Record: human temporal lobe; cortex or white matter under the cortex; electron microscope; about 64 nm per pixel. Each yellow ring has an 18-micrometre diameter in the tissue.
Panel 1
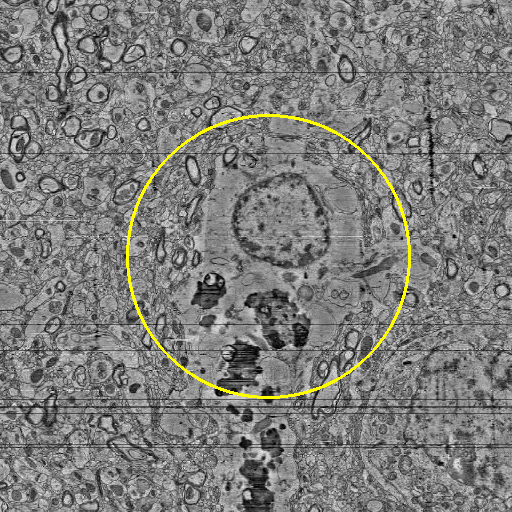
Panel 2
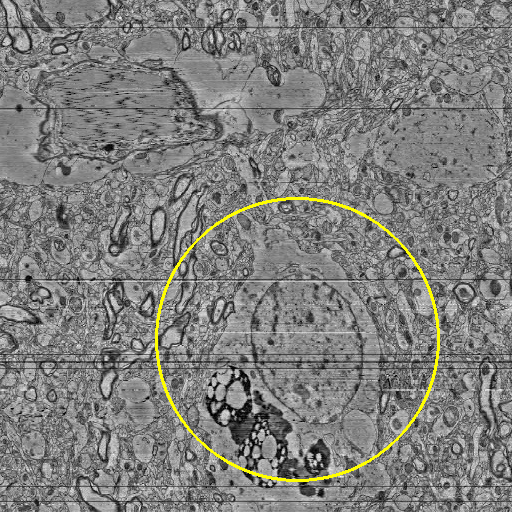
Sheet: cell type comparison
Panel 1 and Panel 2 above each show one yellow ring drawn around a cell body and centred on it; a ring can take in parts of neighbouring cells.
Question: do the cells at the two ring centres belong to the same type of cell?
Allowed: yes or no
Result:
yes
